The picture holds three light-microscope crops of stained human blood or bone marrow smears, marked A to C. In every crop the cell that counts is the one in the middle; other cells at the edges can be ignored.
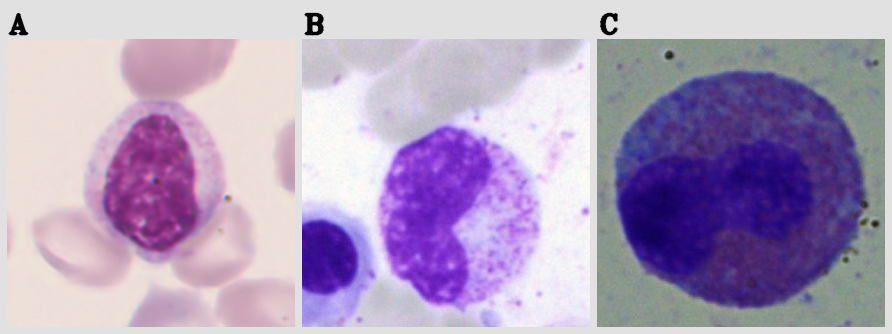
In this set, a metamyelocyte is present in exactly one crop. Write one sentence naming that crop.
Crop A, and no other, shows a metamyelocyte.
